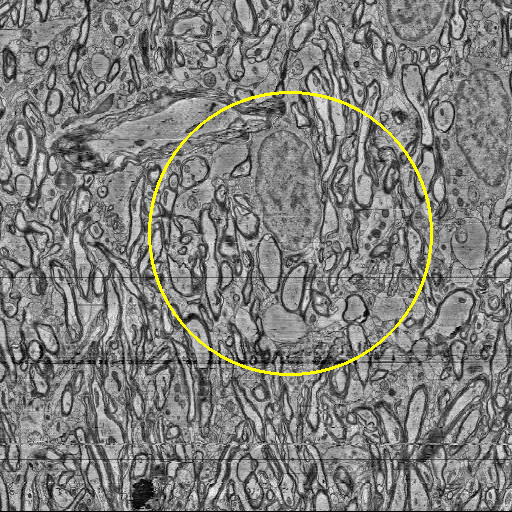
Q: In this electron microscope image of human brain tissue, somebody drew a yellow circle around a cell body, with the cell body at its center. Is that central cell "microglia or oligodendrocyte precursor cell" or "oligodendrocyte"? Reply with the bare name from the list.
oligodendrocyte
